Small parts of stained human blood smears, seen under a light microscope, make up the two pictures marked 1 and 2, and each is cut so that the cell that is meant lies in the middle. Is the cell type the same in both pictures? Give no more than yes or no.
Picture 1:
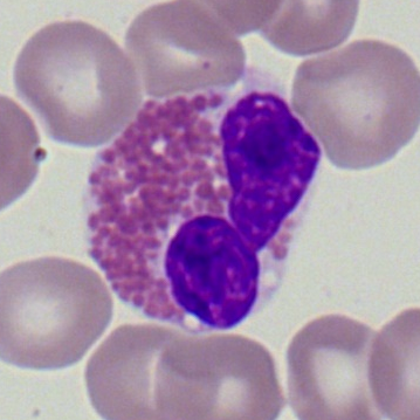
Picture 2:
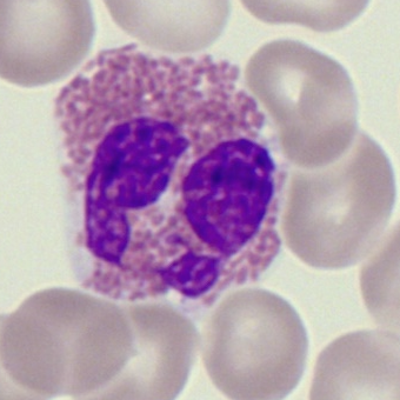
yes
